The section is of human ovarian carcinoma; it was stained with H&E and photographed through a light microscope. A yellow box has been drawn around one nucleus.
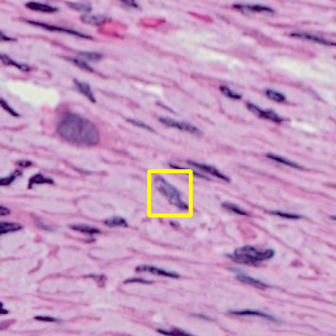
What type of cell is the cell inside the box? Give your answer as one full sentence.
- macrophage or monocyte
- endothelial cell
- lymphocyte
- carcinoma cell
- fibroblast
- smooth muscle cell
On this particular slide, the cell inside the box is a fibroblast.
